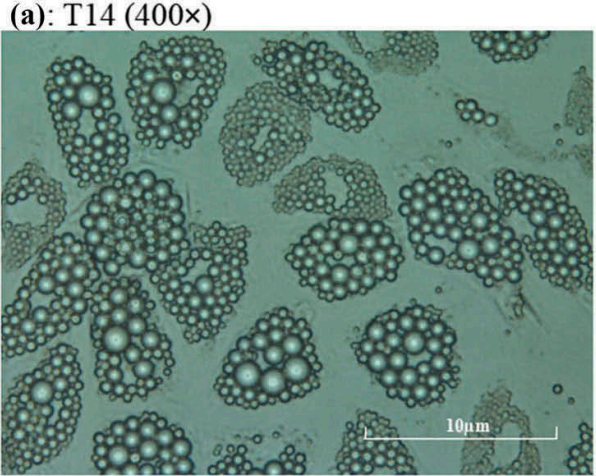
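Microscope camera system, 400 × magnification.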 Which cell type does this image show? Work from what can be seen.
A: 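Each cell is packed with many round, refractile droplets. The droplets fill most of the cell outline, clustered together. That points to this answer: mature adipocytes.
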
